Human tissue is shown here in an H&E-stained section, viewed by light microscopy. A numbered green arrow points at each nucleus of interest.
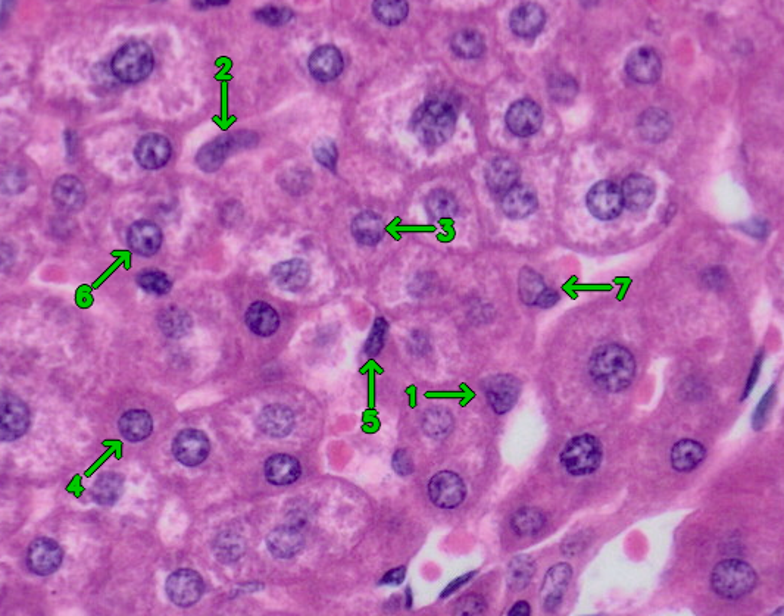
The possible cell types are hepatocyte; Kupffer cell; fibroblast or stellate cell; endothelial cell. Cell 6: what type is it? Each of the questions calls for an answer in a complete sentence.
The cell referenced by the number 6 is a hepatocyte in this field.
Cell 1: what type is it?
The cell to which the number 1 is assigned is an endothelial cell.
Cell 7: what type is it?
The numeral 7 marks a Kupffer cell in this section.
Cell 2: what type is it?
The cell pointed out by number 2 is a Kupffer cell.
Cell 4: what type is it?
In this section, the cell tagged 4 is a hepatocyte.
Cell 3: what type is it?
Number 3 among the marked cells is a hepatocyte.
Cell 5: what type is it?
Nucleus 5 in this section belongs to a fibroblast or stellate cell.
